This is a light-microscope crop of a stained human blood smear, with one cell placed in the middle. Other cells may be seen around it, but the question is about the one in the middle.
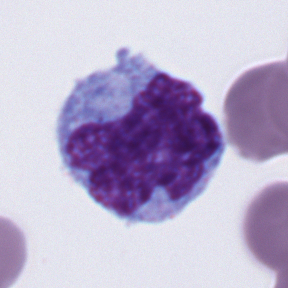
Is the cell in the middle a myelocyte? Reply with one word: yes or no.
no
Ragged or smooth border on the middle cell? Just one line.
Not smooth, the outline of the cell is ragged or drawn out into projections.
